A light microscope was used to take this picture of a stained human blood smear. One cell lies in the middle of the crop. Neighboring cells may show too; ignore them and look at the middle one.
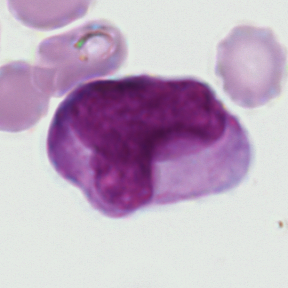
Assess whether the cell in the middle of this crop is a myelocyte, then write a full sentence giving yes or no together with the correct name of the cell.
No, the middle cell is classified as an atypical promyelocyte instead of a myelocyte.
